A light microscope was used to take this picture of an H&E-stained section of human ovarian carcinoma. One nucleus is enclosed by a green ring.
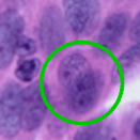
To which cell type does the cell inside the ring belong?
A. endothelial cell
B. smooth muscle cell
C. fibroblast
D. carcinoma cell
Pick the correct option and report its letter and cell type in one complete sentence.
Since the cell inside the ring is a carcinoma cell, option D is correct.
